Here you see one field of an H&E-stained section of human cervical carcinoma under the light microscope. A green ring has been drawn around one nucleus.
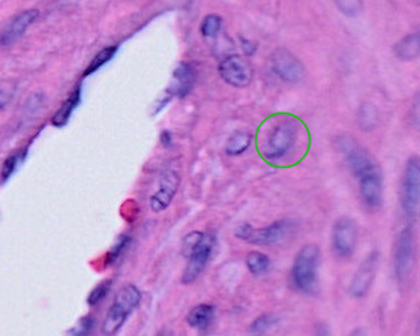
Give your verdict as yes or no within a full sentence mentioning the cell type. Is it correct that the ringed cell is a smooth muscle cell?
Yes, identifying the ringed cell as a smooth muscle cell is right.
